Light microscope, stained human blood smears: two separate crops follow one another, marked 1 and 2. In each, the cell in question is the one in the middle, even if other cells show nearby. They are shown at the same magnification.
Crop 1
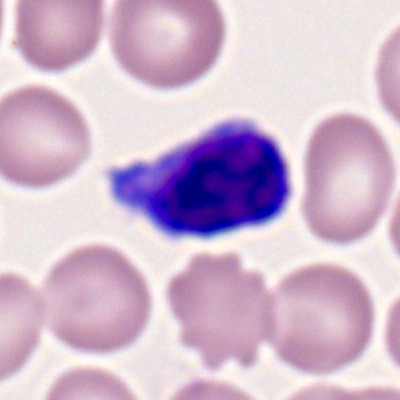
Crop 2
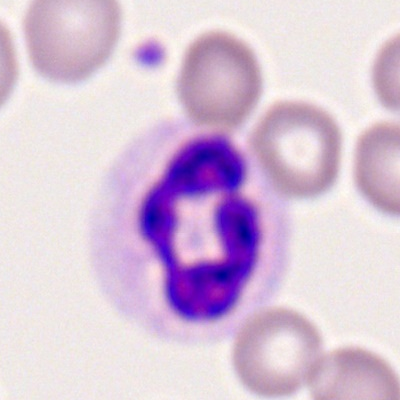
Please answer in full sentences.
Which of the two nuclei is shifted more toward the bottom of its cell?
The nucleus in crop 1 lies further toward the bottom of its cell.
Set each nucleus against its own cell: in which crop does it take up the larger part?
In crop 1 the nucleus takes up the larger part of its cell.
